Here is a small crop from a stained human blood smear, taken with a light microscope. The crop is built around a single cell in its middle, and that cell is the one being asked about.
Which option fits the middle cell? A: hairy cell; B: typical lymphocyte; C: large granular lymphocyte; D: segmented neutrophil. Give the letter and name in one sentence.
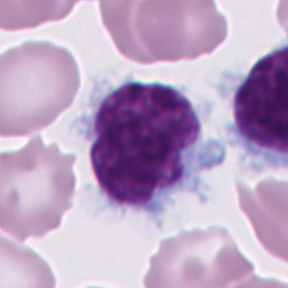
Option A is the correct selection, for the cell at the centre is a hairy cell.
